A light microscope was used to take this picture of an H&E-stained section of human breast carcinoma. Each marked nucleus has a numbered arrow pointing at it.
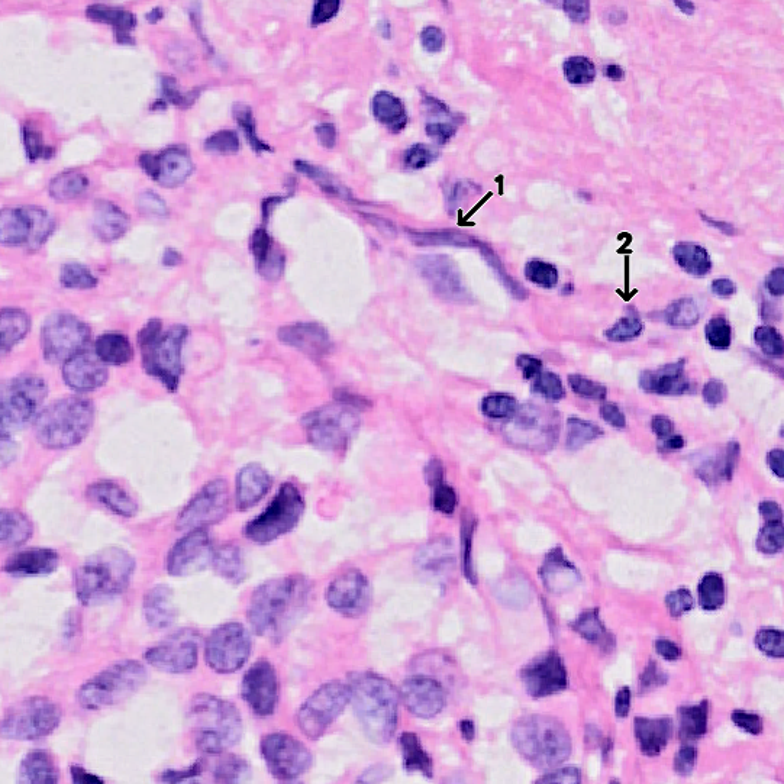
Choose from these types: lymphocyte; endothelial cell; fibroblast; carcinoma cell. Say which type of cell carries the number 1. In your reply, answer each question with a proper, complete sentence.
In this section, number 1 marks an endothelial cell.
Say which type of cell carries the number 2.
The nucleus with number 2 is that of a lymphocyte.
